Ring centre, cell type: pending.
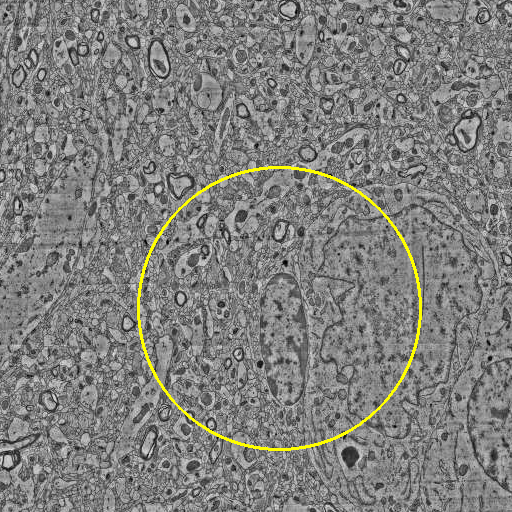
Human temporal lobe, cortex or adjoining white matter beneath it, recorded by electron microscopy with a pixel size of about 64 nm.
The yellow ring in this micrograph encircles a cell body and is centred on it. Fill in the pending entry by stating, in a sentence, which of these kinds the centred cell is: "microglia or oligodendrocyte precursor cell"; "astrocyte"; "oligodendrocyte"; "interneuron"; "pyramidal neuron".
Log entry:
The centred cell is recorded as a microglial cell or oligodendrocyte precursor cell.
